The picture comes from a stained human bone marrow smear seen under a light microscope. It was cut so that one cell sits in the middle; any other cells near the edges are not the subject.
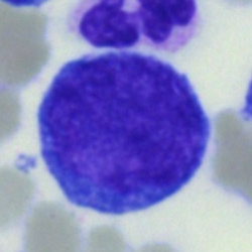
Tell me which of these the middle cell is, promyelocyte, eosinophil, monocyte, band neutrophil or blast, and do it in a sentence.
In the central position of this crop, the cell is a blast.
